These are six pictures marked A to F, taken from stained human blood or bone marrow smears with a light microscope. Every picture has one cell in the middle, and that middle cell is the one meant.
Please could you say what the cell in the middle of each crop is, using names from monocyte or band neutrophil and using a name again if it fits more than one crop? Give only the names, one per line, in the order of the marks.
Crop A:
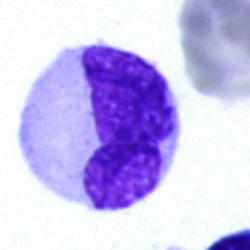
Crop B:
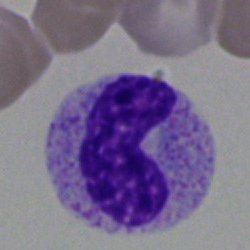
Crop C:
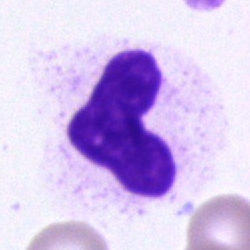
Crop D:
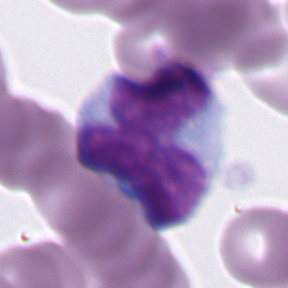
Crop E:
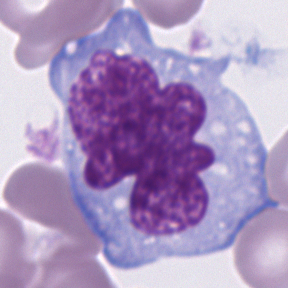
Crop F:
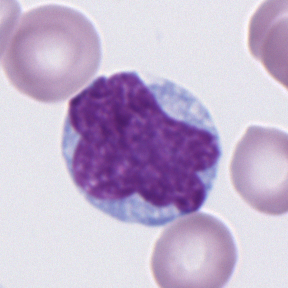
band neutrophil
band neutrophil
band neutrophil
monocyte
monocyte
monocyte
